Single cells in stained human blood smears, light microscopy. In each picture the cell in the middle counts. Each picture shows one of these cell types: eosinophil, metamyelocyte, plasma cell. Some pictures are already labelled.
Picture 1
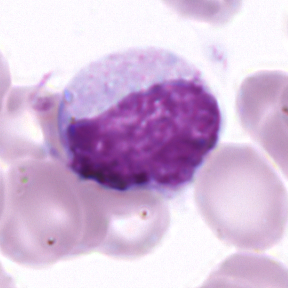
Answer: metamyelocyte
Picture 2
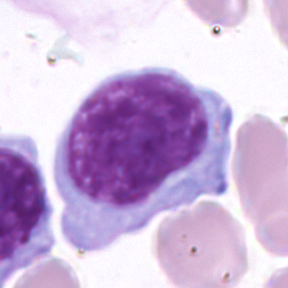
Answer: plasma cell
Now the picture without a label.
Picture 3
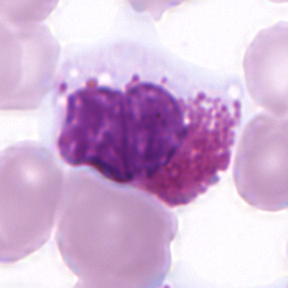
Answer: eosinophil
